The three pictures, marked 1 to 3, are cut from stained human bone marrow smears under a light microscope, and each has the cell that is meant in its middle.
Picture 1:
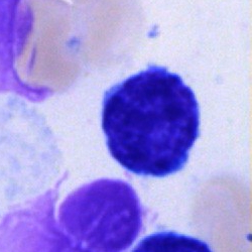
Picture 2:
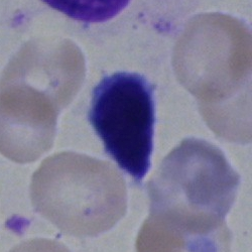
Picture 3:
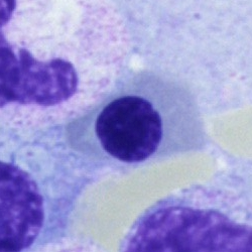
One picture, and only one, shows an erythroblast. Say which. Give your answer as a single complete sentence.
The cell in picture 3 is the erythroblast.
